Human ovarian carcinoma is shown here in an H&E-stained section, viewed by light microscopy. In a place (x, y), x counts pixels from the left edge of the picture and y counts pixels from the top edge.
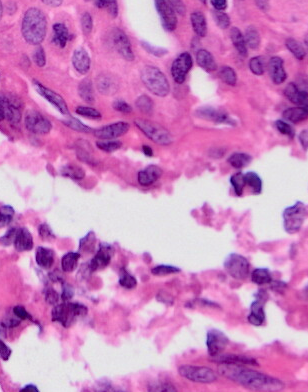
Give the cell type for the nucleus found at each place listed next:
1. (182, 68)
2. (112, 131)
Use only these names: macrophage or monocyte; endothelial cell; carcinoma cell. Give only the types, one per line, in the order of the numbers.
carcinoma cell
endothelial cell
